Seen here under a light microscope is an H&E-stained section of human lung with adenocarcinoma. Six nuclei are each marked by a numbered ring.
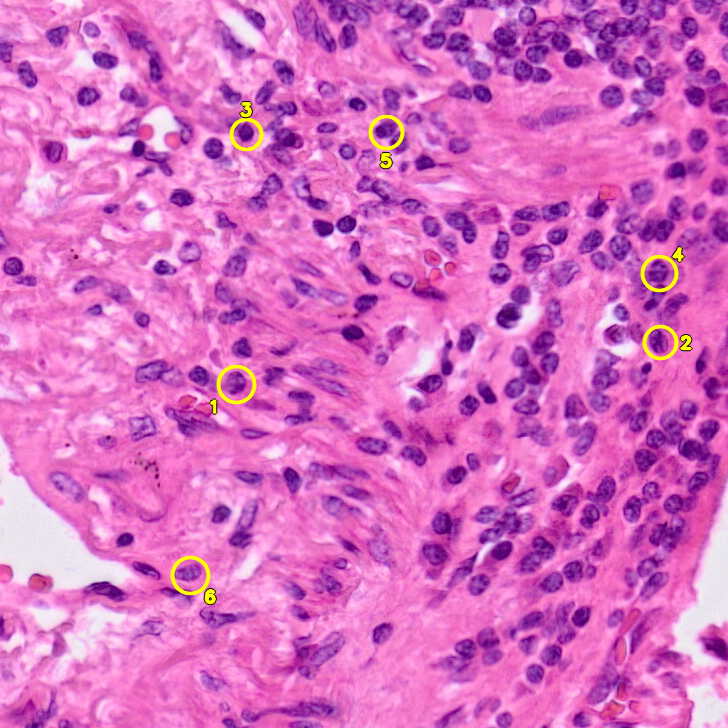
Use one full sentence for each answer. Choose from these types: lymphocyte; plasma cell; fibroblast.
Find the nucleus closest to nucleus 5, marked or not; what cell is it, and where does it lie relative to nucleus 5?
It is a lymphocyte, whose nucleus lies below and to the right of nucleus 5.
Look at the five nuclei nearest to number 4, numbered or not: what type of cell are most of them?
Fibroblasts make up most of the five nuclei closest to number 4.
